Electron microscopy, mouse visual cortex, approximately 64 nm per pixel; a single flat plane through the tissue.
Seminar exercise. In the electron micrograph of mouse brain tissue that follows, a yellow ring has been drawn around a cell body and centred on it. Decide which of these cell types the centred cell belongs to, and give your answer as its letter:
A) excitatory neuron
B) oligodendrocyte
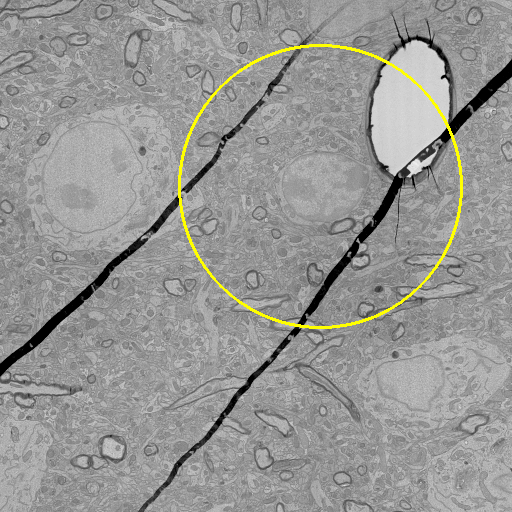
B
